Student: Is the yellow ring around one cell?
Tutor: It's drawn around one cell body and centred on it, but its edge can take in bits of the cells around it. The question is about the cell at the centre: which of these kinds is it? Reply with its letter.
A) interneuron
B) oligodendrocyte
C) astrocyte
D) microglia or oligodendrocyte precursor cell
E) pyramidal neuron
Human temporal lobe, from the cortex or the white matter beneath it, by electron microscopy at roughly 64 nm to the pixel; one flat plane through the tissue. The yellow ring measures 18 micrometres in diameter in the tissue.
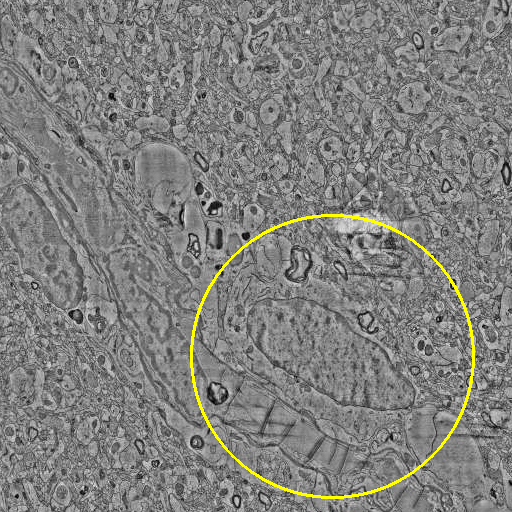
D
